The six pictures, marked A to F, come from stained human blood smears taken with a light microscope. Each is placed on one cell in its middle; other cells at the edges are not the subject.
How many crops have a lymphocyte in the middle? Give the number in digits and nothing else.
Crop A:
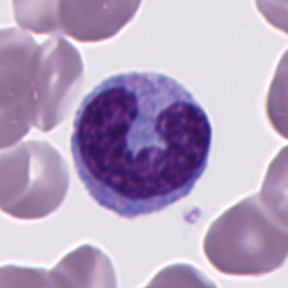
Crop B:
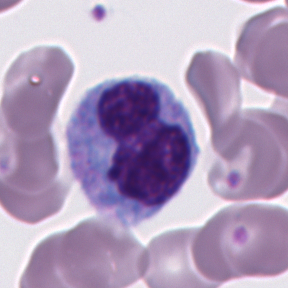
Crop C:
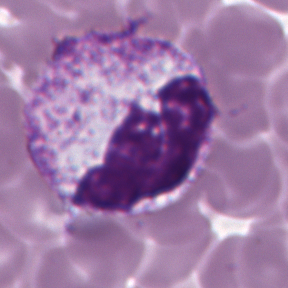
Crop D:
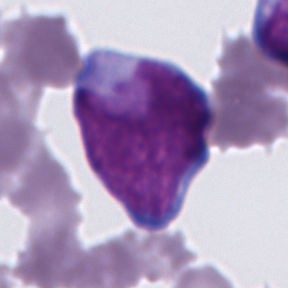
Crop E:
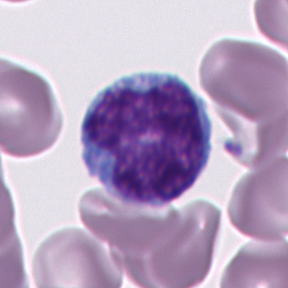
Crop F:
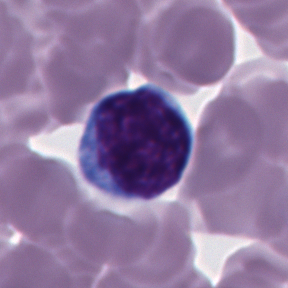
1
